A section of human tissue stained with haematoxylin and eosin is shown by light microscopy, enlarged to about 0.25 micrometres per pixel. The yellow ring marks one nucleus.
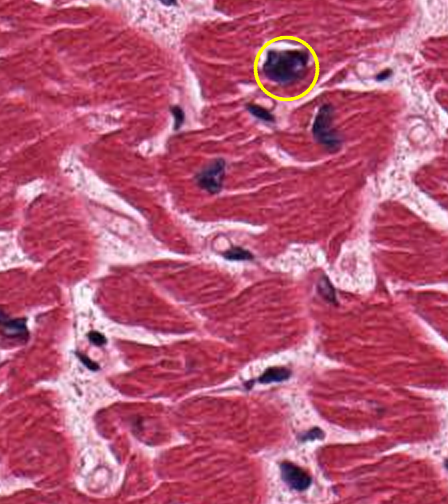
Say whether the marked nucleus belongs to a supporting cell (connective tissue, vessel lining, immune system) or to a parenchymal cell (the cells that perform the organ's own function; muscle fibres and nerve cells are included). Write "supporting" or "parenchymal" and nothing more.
parenchymal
